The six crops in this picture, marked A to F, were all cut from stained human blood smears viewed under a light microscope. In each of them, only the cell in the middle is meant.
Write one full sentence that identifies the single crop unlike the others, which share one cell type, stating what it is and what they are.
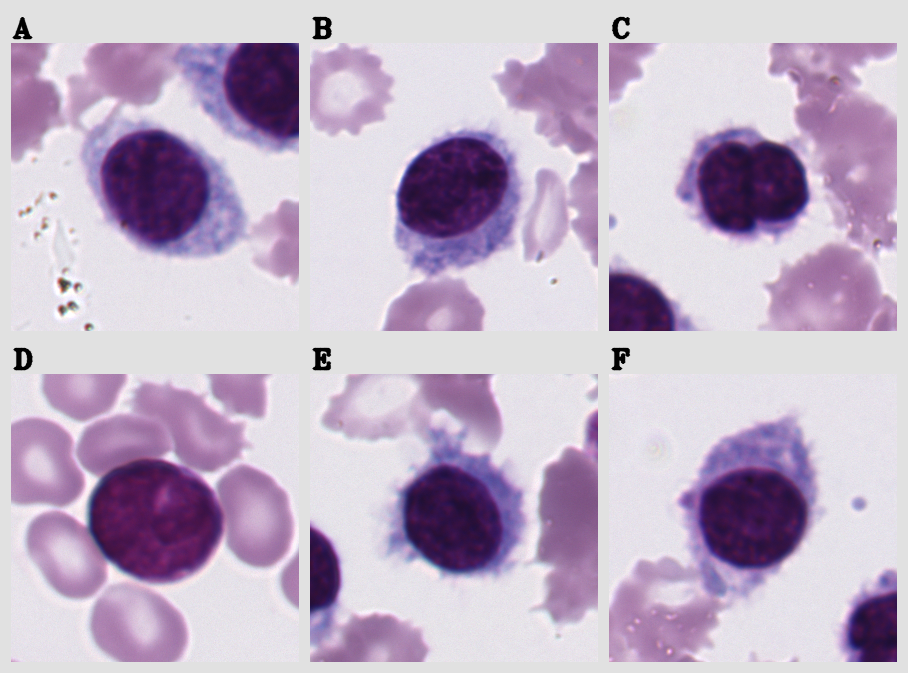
The rest of the crops show hairy cells; crop D is the one showing a myeloblast.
